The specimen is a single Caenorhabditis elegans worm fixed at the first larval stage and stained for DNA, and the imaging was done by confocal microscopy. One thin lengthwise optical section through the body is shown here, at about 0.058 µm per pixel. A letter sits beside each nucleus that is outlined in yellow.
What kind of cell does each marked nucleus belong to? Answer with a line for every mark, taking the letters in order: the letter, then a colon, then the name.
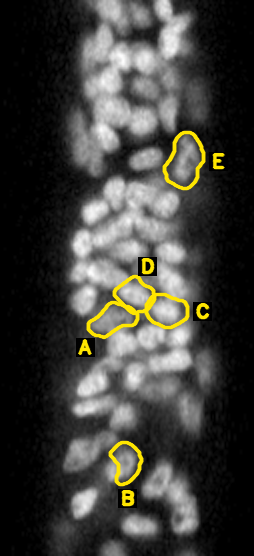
A: neuron
B: pharyngeal muscle cell
C: neuron
D: neuron
E: body wall muscle cell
